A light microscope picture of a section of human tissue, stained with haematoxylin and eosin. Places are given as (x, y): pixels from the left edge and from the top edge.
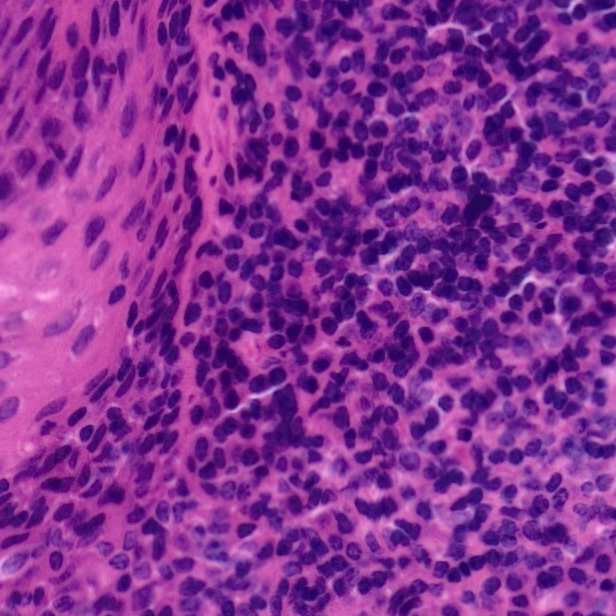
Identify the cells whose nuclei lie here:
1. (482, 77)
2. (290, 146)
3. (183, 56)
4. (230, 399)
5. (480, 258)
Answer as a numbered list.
1. small lymphocyte
2. plasma cell
3. squamous epithelial cell
4. plasma cell
5. small lymphocyte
